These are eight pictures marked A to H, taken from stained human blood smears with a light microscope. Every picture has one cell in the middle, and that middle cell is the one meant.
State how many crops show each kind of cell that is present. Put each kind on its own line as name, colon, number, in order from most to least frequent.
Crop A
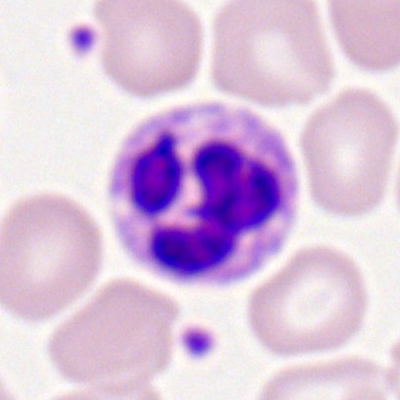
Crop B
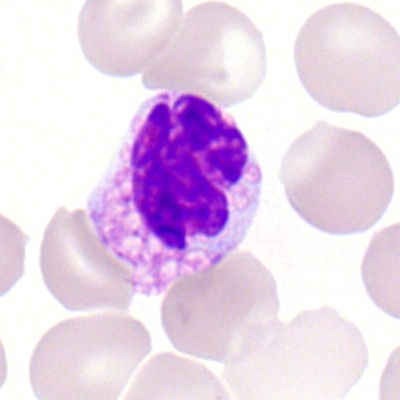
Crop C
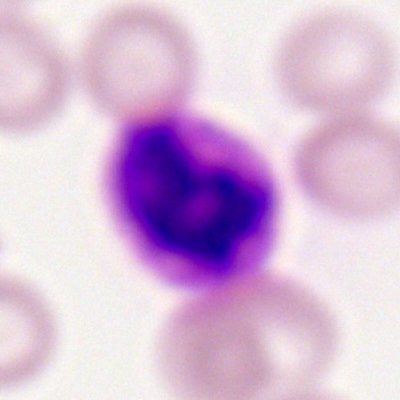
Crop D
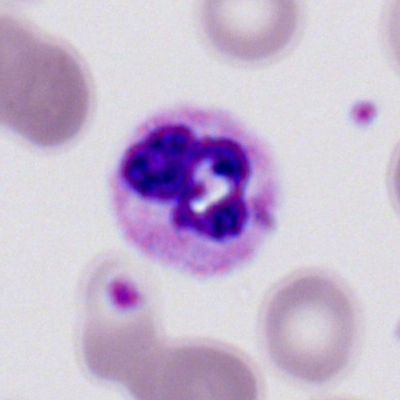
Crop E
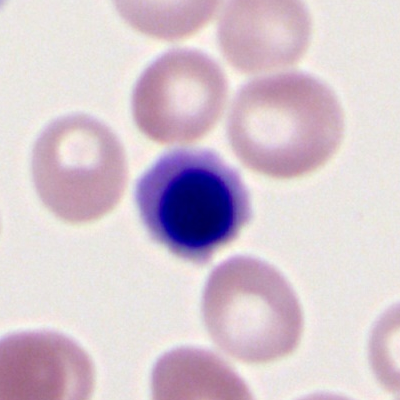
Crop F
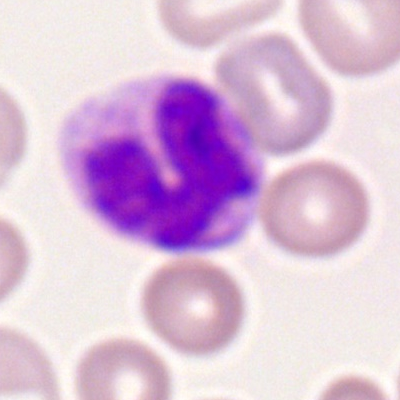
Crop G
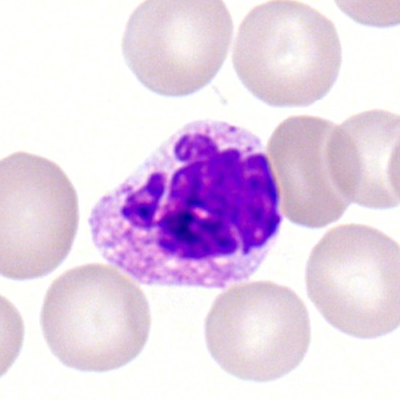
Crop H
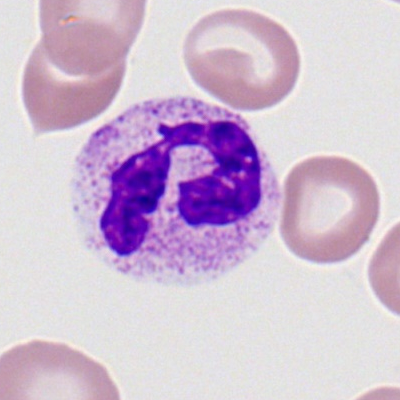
basophil: 4
segmented neutrophil: 3
erythroblast: 1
